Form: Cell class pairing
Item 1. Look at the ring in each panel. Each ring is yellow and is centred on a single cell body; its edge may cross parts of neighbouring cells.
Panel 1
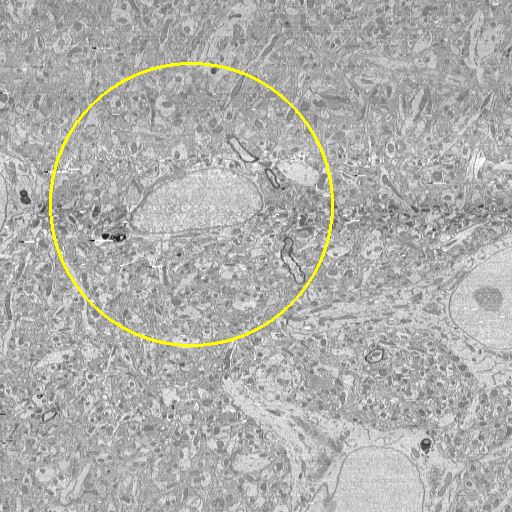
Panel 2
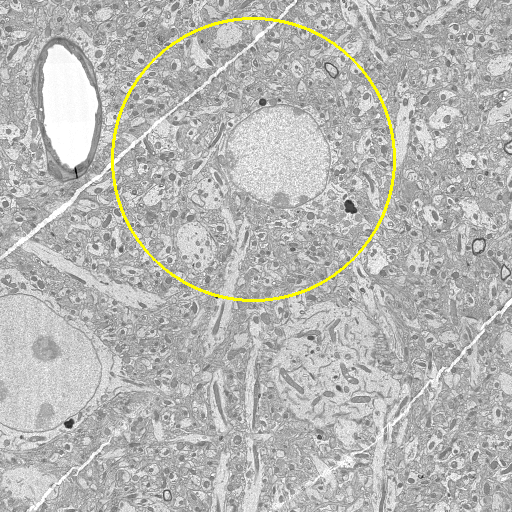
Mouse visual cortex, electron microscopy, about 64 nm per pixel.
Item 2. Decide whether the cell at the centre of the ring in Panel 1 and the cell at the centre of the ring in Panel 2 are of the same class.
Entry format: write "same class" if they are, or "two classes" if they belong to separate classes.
same class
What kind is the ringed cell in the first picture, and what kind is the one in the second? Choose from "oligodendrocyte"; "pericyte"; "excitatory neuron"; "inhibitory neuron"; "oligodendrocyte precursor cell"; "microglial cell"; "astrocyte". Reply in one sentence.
In the first picture and in the second, the ring is centred on an astrocyte.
